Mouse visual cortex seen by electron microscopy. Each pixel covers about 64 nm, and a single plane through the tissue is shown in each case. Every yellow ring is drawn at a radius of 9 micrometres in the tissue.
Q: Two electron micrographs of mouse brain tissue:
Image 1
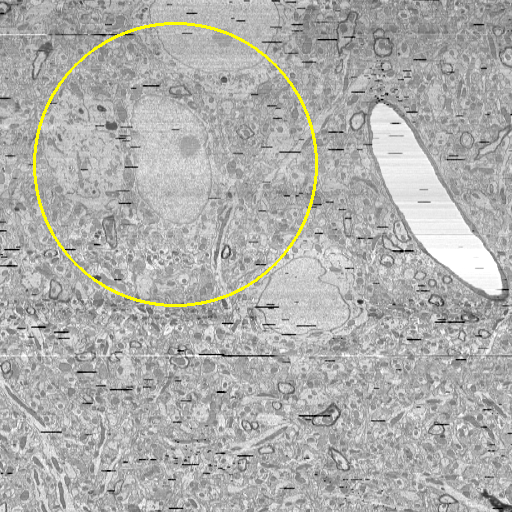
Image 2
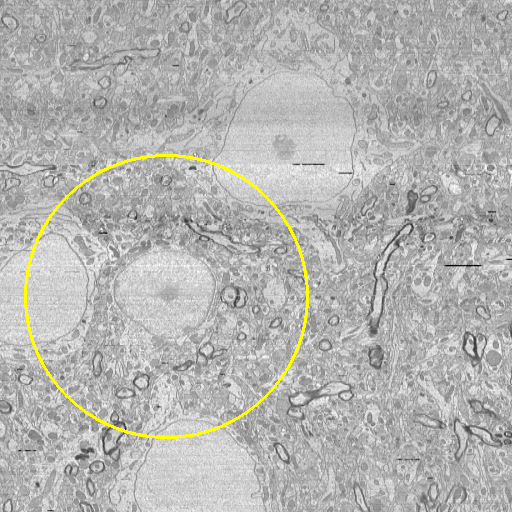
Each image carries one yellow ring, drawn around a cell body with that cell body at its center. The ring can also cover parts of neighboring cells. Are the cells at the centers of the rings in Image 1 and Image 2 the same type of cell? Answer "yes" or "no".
yes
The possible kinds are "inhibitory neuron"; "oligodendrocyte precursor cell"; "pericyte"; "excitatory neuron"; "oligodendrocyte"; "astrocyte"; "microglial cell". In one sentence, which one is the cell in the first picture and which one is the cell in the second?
Each of the two pictures has an astrocyte at the ring centre.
